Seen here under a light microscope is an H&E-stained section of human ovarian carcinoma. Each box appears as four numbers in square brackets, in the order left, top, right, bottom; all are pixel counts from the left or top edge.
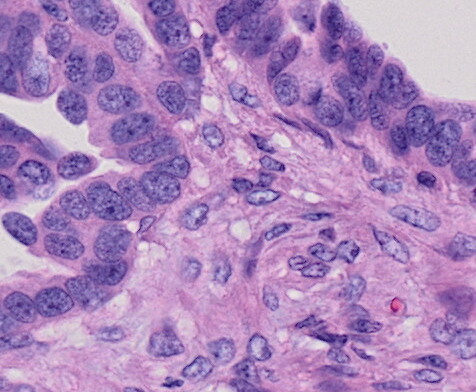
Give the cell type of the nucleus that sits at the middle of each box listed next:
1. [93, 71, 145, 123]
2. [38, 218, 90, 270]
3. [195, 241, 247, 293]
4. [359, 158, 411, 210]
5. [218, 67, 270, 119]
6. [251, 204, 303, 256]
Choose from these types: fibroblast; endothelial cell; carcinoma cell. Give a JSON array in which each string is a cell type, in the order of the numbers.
["carcinoma cell", "carcinoma cell", "fibroblast", "fibroblast", "fibroblast", "fibroblast"]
